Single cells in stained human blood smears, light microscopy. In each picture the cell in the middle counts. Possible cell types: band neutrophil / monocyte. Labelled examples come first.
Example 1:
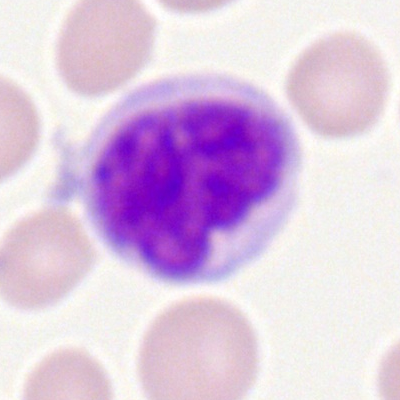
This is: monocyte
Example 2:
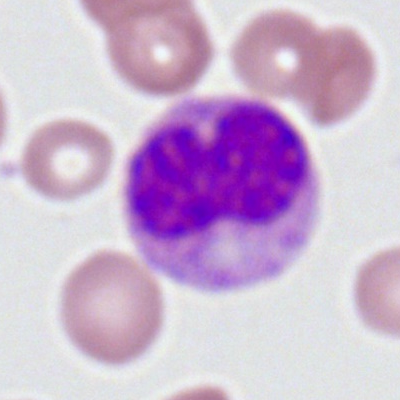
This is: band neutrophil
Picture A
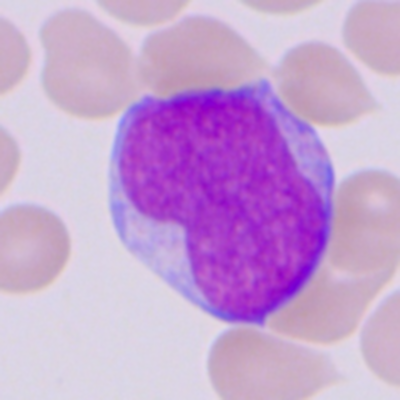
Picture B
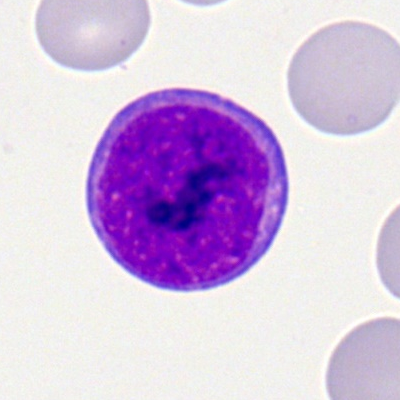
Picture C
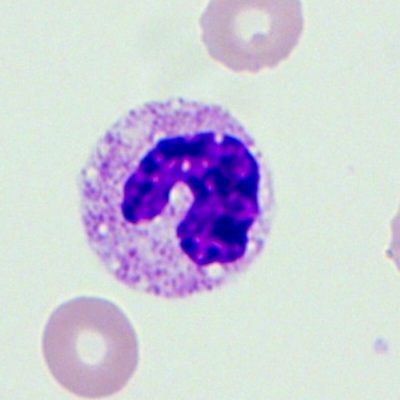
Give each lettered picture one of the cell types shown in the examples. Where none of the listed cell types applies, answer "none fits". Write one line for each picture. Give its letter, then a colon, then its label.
A: none fits
B: none fits
C: band neutrophil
